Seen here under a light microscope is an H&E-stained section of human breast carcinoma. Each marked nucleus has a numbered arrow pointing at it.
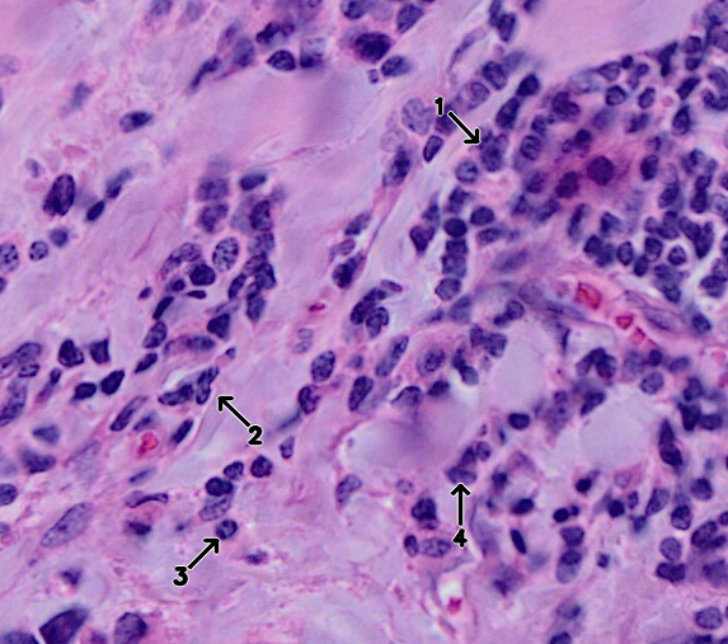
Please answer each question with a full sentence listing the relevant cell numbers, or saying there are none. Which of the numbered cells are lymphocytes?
The cells picked out by numbers 1, 2 and 4 are lymphocytes.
